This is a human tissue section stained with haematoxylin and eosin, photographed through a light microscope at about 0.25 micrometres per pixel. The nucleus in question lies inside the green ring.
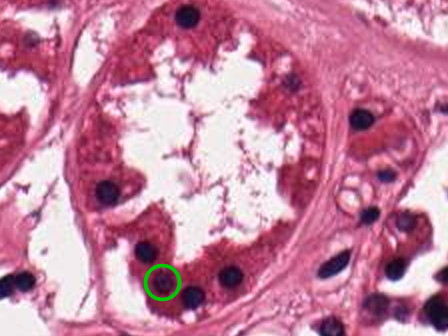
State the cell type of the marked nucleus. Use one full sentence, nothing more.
In this image, the nucleus that is marked belongs to a proximal tubule cell.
